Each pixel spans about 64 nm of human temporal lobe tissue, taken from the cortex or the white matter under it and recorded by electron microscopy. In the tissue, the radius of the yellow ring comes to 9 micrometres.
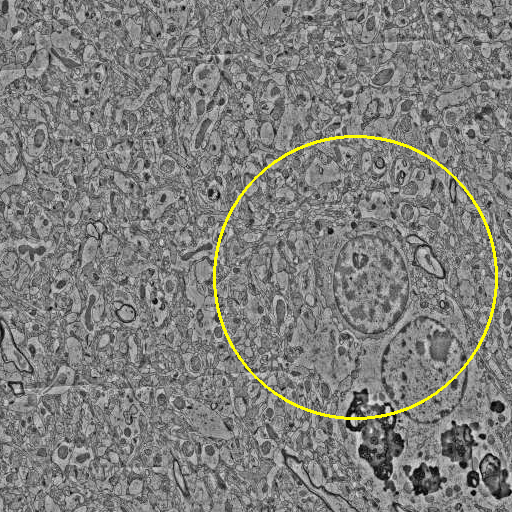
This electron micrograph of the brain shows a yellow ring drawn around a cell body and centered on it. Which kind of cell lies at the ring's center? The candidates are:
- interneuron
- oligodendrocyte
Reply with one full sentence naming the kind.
The cell lying at the ring's center in this micrograph is an oligodendrocyte.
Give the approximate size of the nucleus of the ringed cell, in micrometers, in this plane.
Approximately 6 by 5 micrometers in this plane.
